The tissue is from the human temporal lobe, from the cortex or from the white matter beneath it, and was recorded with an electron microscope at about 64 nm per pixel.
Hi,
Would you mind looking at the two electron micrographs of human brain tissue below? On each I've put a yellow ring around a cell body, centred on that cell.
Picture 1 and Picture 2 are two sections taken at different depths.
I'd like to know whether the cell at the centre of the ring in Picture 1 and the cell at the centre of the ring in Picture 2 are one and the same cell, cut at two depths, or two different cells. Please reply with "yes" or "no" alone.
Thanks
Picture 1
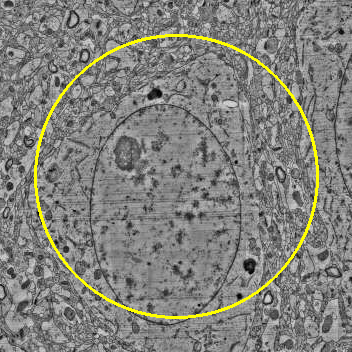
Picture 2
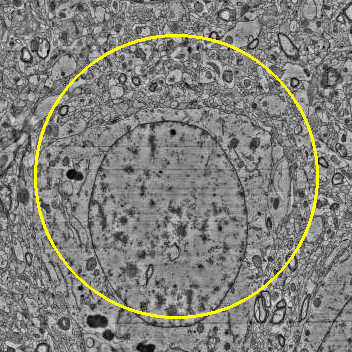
no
